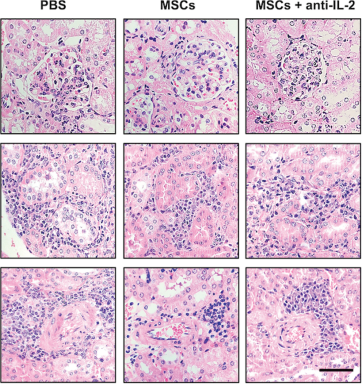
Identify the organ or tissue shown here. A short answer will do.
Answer: kidneys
